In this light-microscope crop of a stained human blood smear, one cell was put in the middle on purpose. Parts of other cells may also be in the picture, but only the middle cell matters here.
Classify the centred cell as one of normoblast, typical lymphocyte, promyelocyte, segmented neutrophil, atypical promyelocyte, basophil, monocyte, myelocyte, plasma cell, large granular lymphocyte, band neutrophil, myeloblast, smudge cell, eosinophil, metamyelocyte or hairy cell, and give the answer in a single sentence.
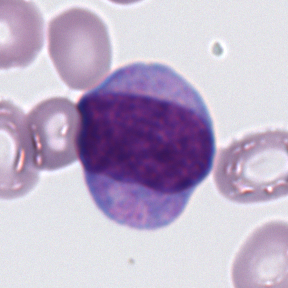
In the center of this field lies an atypical promyelocyte.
